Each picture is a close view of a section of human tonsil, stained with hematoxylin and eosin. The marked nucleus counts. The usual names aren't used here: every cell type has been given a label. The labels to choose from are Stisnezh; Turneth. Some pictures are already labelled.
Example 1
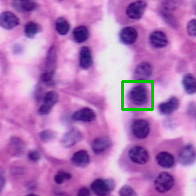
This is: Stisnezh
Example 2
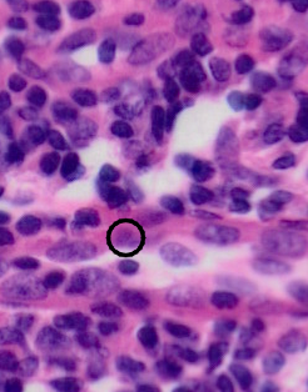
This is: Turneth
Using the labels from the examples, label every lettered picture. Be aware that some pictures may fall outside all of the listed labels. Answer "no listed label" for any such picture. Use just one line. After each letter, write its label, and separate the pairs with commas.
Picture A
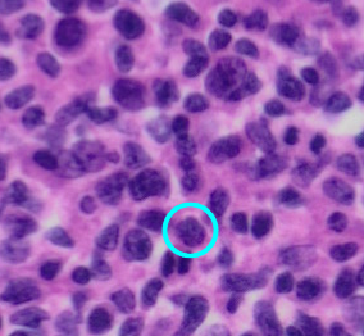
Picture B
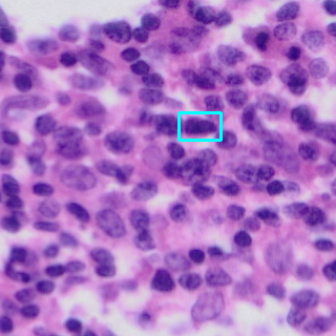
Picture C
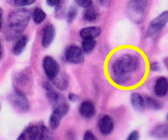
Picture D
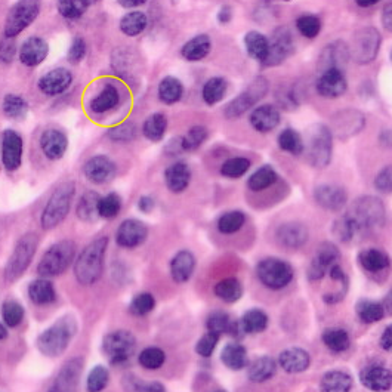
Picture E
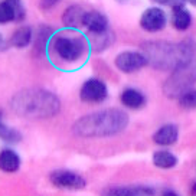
A no listed label, B no listed label, C Turneth, D Stisnezh, E Turneth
